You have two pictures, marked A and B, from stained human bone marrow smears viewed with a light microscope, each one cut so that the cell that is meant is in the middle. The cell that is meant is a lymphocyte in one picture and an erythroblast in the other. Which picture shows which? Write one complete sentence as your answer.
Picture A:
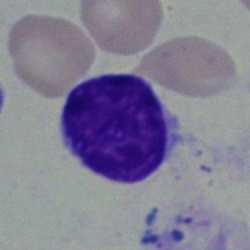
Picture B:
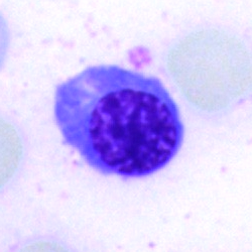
It is picture A that shows a lymphocyte, and picture B that shows an erythroblast.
